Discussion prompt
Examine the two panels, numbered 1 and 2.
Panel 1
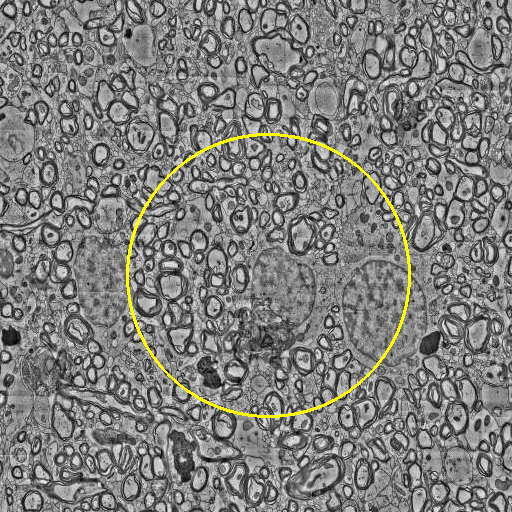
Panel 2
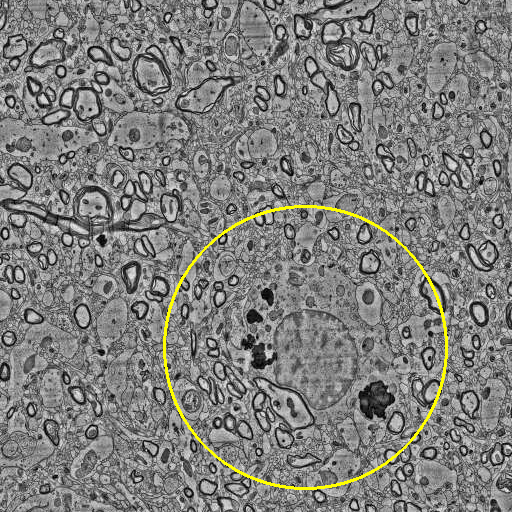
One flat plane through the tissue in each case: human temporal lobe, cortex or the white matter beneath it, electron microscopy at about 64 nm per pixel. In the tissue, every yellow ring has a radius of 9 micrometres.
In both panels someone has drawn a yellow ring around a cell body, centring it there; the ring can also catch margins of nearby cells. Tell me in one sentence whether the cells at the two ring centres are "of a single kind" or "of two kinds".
Taken together, the two cells centred in the rings of Panels 1 and 2 are of a single kind.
